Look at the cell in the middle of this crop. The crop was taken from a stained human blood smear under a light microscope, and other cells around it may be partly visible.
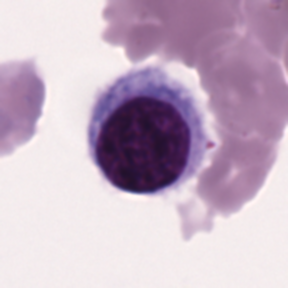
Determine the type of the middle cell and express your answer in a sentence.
The central element of this crop is a cell, namely a hairy cell.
